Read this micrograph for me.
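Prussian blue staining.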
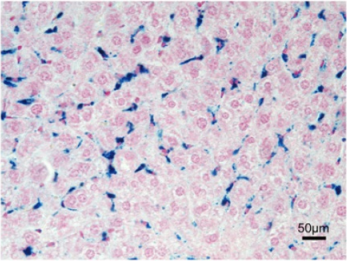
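Liver parenchyma with closely packed polygonal hepatocytes forming a continuous sheet. Each hepatocyte has a round, centrally placed nucleus stained pink-red and a pale, finely textured cytoplasm. Cell borders are faint but give the tissue a cobblestone pattern. Scattered between the hepatocytes are irregular, elongated dark blue deposits of varying size. The blue material is distributed throughout the field rather than concentrated in one area.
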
